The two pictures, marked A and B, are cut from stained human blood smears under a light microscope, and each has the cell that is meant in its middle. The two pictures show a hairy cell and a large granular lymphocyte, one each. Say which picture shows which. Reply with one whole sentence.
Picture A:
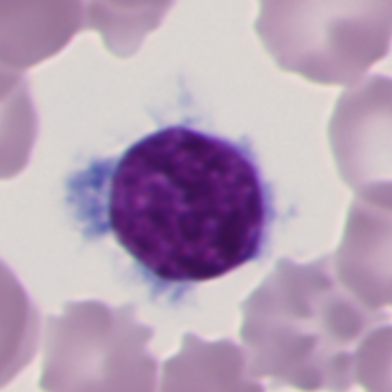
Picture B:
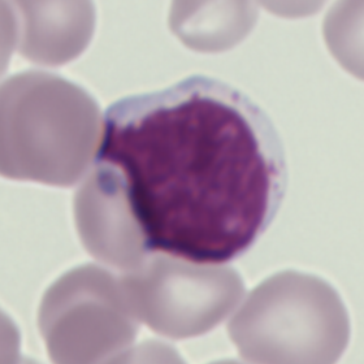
The cell in picture A is a hairy cell, and the one in picture B is a large granular lymphocyte.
